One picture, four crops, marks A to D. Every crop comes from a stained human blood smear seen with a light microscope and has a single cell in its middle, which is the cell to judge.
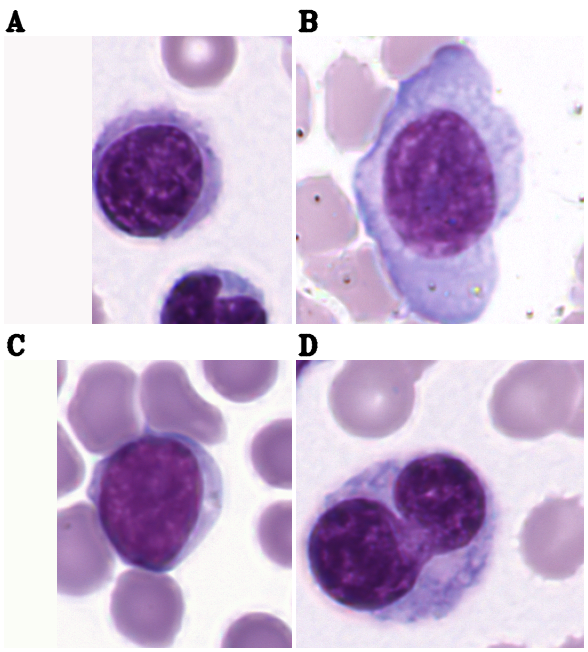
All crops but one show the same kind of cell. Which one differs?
C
